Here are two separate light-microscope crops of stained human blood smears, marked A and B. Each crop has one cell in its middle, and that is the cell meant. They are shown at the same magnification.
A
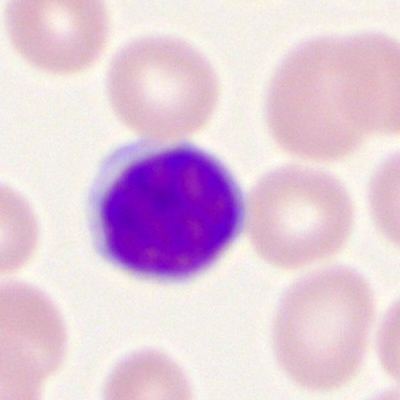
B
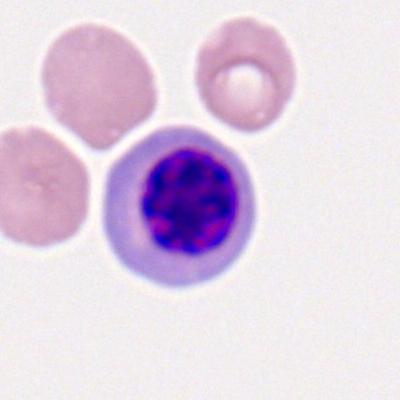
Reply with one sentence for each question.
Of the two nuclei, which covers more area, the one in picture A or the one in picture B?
It is the nucleus in picture A, about 1.5 times as large in area as the one in picture B.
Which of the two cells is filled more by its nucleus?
In picture A the nucleus takes up the larger part of its cell.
